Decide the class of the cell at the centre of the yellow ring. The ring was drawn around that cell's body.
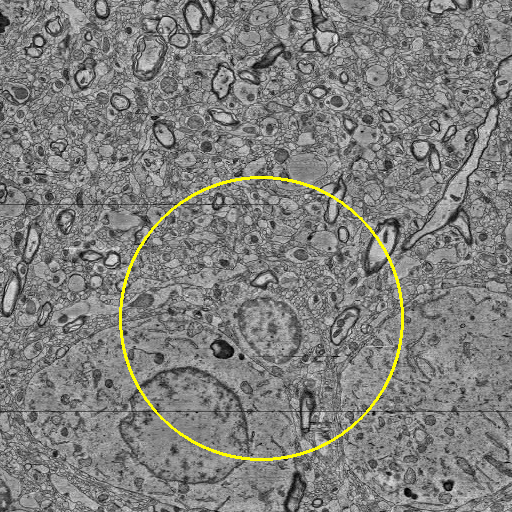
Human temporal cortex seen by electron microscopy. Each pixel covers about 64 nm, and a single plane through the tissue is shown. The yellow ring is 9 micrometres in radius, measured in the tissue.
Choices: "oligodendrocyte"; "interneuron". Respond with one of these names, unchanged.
oligodendrocyte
